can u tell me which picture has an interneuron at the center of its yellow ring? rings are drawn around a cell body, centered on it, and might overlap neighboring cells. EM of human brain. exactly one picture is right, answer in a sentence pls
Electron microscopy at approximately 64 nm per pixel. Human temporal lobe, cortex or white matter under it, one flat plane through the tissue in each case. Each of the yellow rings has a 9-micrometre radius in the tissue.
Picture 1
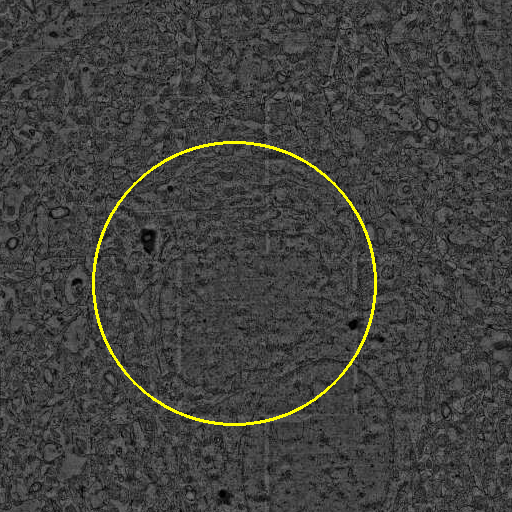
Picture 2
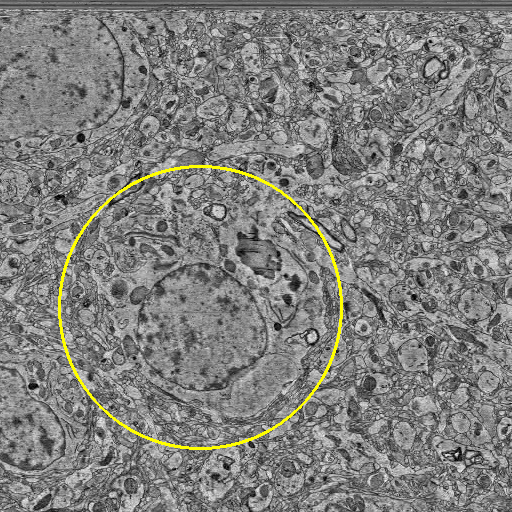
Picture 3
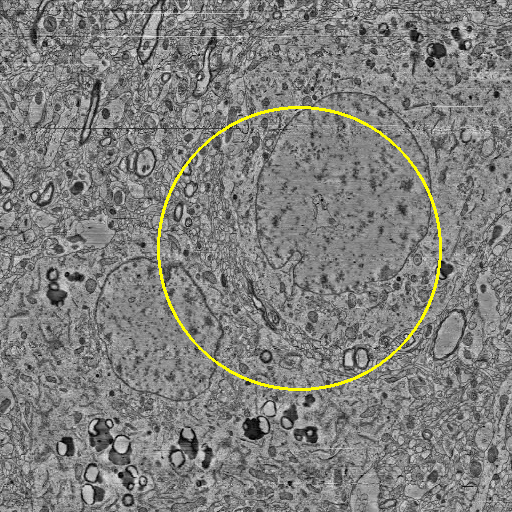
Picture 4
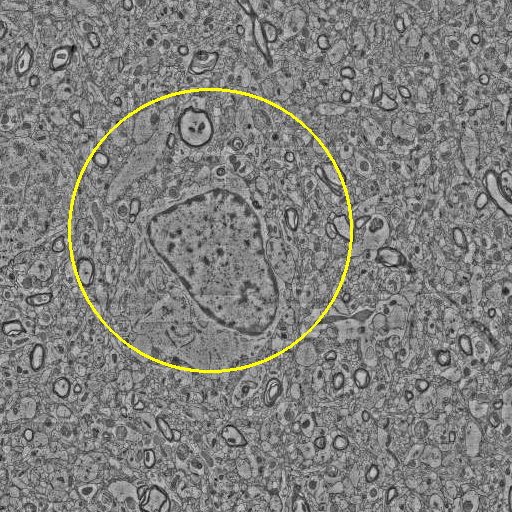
Picture 1 is the one.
